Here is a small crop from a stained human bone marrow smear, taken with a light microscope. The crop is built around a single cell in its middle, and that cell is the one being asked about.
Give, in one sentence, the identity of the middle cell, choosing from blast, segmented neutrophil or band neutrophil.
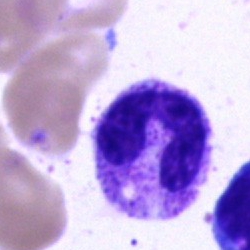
The crop's centre is taken up by a band neutrophil.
